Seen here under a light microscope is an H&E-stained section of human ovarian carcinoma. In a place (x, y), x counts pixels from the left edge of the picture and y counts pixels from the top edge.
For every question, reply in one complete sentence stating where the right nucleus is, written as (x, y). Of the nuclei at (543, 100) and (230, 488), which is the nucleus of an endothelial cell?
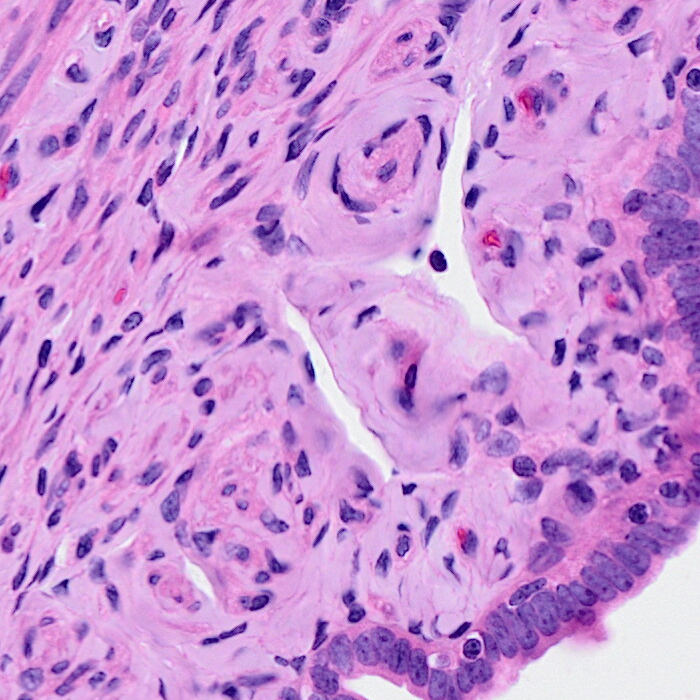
The nucleus lying at (543, 100) is the nucleus of an endothelial cell.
